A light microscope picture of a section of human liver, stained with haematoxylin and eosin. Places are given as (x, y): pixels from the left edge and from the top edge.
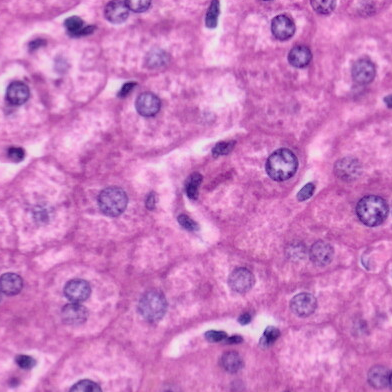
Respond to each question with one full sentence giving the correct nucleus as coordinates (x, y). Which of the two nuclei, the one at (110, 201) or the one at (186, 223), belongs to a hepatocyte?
So, of the two, the nucleus at (110, 201) is the one belonging to a hepatocyte.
